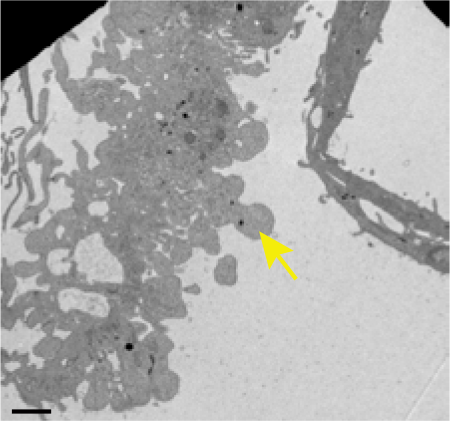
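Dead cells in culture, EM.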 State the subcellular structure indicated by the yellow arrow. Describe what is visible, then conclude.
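Membrane blebs. Many small rounded protrusions line the cell border. The arrow points to one rounded knob at the cell edge.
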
